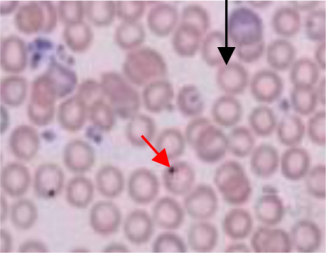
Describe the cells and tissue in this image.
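This is a blood smear, and nearly every cell in view is a red blood cell: pink, round discs with a paler centre and no nucleus. In a few of these red cells there is a single tiny, dark purple dot, sharply outlined, lying off-centre inside the pink cell. These dots are Howell-Jolly bodies, small remnants of nuclear material left behind in the red cell. At the upper left a few irregular purple clumps lie between the red cells. The red cells vary somewhat in size and pinkness, and some overlap one another.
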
